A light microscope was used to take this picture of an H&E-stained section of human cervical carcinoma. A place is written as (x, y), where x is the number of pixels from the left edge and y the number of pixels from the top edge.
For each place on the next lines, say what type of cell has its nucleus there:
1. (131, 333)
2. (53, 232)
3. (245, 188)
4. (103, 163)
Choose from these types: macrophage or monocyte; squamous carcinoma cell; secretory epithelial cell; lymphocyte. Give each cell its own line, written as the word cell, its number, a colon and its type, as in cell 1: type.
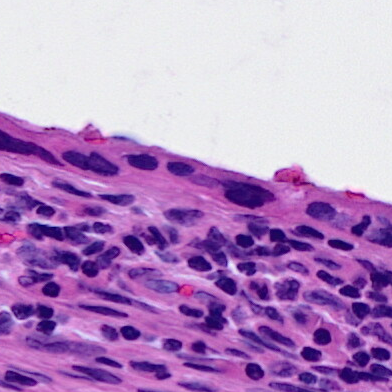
cell 1: lymphocyte
cell 2: lymphocyte
cell 3: secretory epithelial cell
cell 4: secretory epithelial cell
